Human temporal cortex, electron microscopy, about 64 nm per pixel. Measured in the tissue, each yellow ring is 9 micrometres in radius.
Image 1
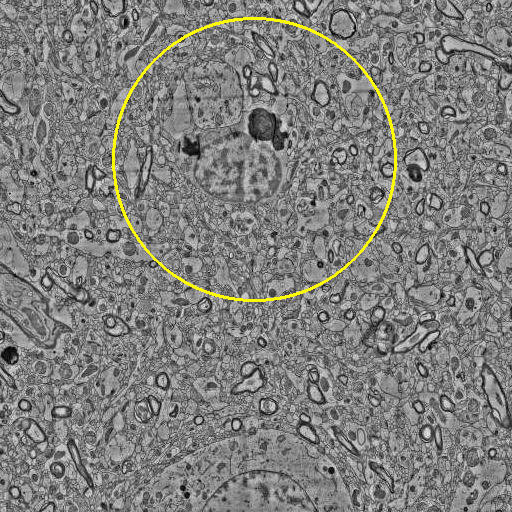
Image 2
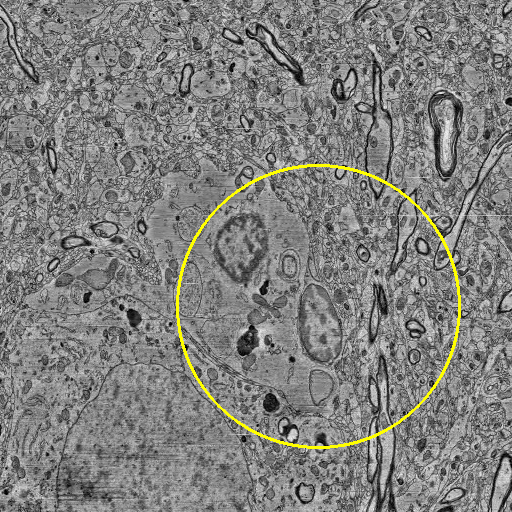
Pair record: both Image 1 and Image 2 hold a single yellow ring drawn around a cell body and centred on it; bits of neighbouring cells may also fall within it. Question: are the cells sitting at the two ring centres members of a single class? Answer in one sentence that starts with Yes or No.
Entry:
No, the ring-centre cells in Image 1 and Image 2 come from two classes.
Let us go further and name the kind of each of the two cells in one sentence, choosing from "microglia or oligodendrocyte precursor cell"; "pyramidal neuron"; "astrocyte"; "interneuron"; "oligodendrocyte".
The ring of the first picture is on an oligodendrocyte, the ring of the second on a microglial cell or oligodendrocyte precursor cell.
